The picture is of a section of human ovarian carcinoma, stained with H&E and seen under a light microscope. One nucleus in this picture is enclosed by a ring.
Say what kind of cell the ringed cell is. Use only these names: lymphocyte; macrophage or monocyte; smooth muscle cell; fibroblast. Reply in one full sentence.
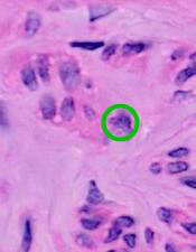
The category to which the ringed cell belongs is that of a smooth muscle cell.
